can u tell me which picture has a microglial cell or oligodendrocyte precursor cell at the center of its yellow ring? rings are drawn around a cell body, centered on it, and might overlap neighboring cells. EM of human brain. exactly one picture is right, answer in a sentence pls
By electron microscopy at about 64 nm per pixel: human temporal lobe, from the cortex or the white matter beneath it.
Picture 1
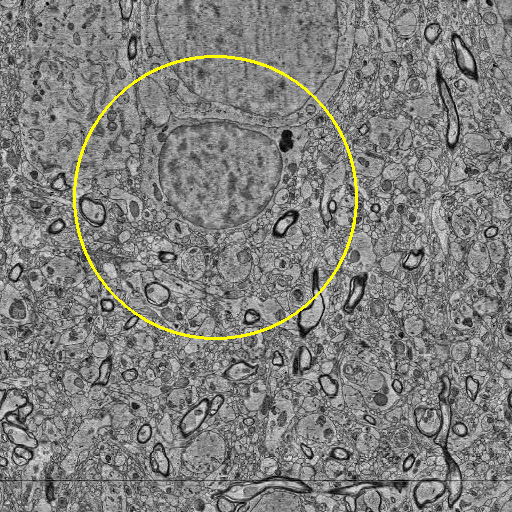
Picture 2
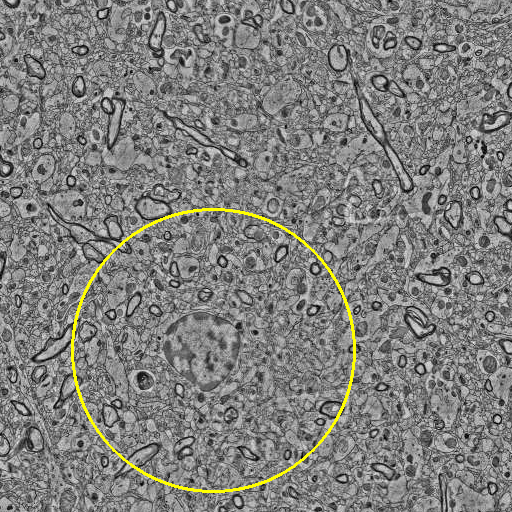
Picture 2 is the one.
